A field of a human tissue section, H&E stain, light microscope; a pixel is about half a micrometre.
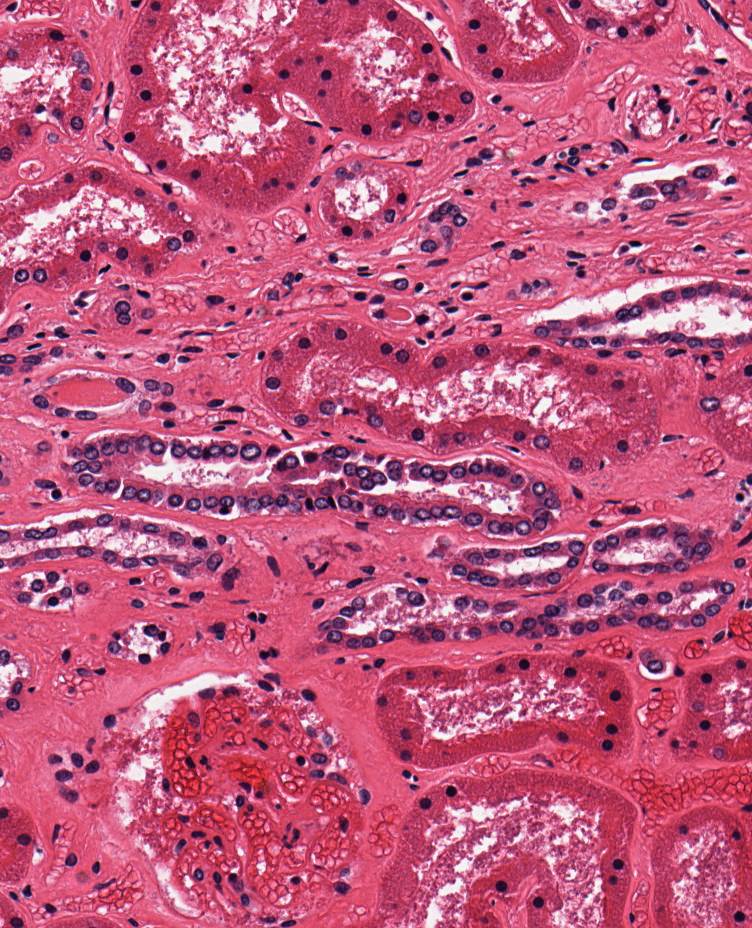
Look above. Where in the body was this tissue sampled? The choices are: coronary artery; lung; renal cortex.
renal cortex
